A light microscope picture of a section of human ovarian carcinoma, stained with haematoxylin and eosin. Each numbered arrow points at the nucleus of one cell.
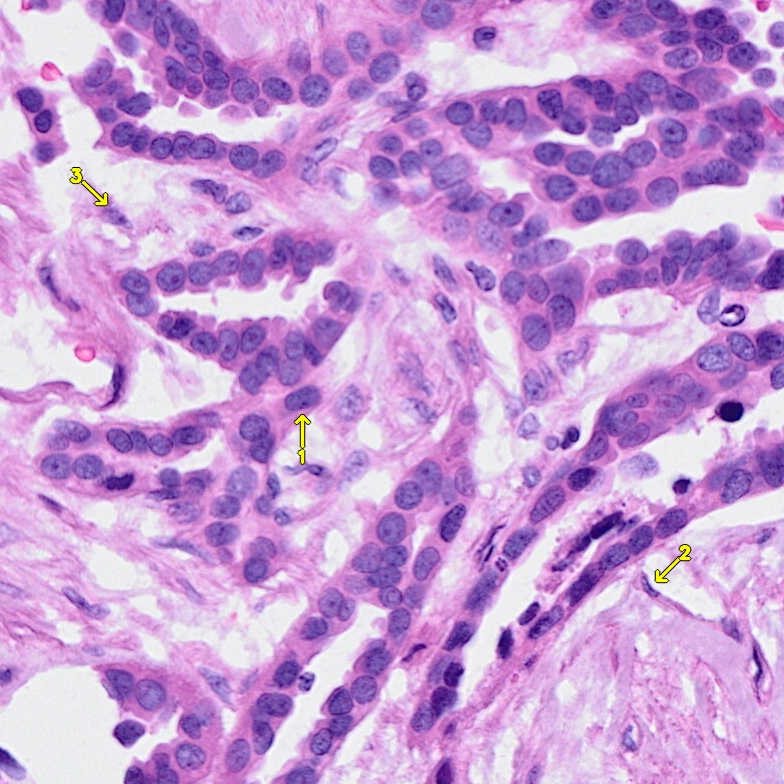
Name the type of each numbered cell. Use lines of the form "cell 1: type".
cell 1: carcinoma cell
cell 2: fibroblast
cell 3: fibroblast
